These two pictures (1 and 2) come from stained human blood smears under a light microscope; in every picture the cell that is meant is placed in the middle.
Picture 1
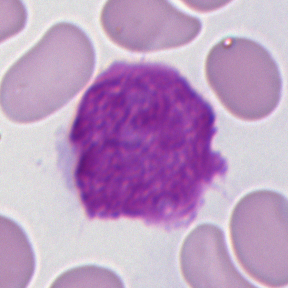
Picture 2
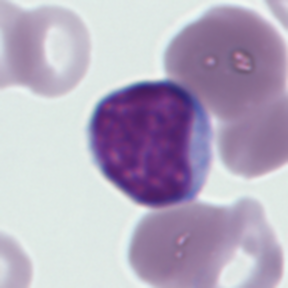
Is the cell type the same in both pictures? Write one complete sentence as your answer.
No, picture 1 shows a smudge cell and picture 2 shows a typical lymphocyte.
